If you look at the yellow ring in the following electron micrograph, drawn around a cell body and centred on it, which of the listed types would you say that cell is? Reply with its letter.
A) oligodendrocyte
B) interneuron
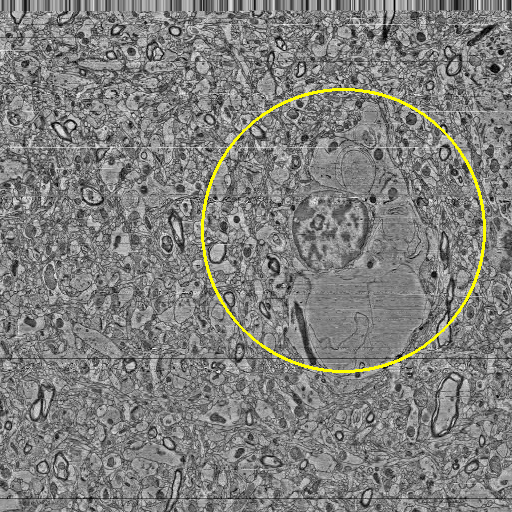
A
